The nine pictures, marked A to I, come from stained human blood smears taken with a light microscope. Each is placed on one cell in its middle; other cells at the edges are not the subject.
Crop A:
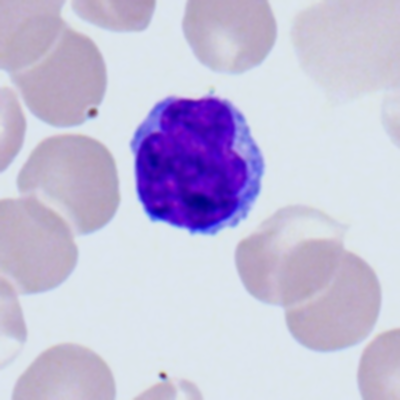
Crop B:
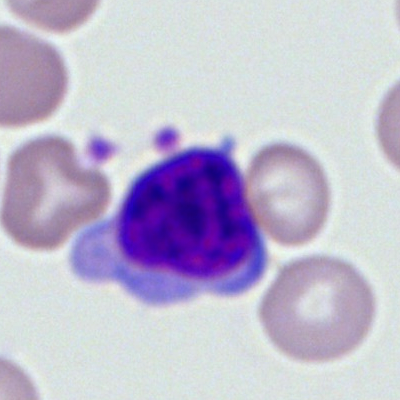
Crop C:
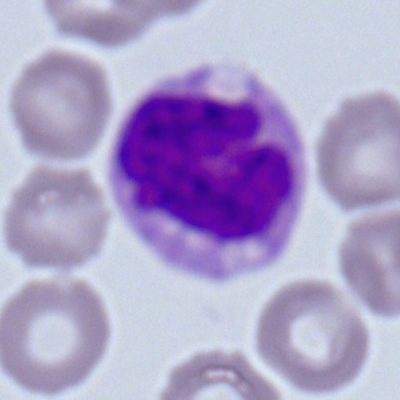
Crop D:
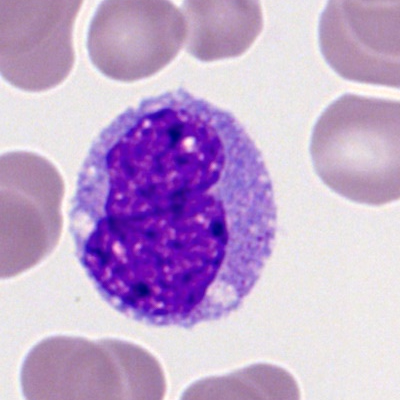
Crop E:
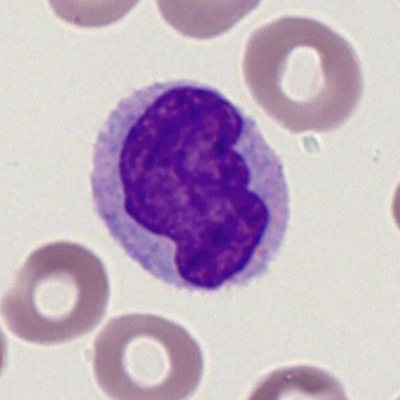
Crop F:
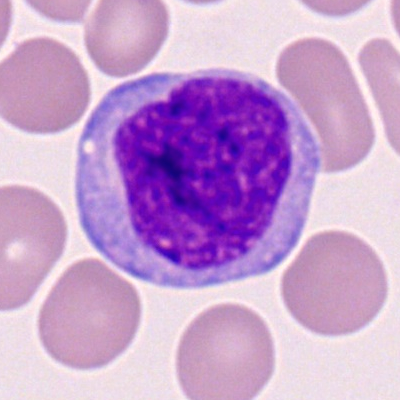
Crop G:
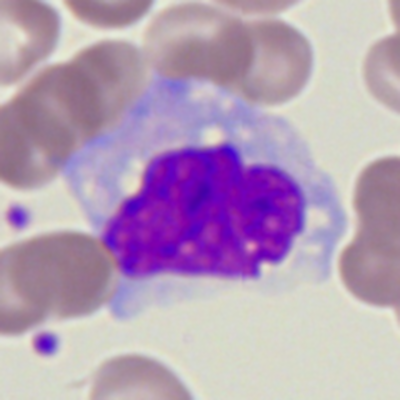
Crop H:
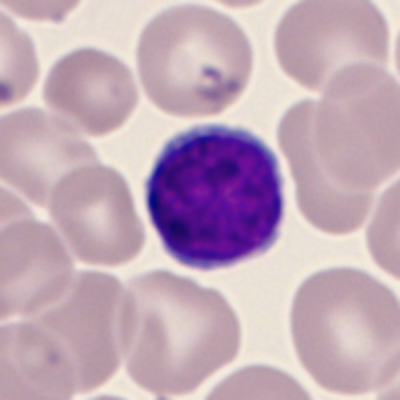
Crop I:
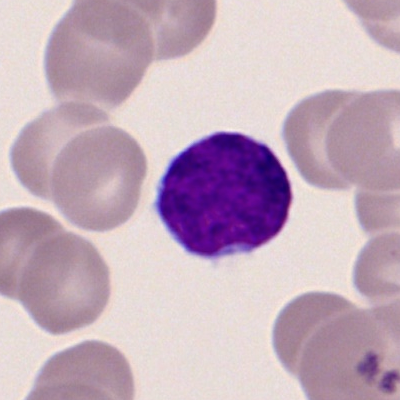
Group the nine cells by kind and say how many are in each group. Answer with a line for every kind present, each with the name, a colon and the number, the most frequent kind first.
monocyte: 5
lymphocyte: 4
